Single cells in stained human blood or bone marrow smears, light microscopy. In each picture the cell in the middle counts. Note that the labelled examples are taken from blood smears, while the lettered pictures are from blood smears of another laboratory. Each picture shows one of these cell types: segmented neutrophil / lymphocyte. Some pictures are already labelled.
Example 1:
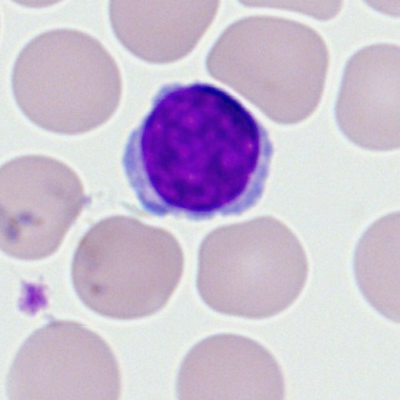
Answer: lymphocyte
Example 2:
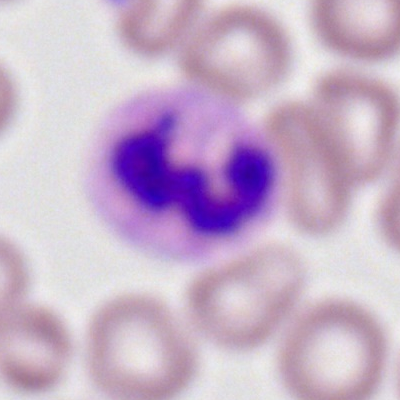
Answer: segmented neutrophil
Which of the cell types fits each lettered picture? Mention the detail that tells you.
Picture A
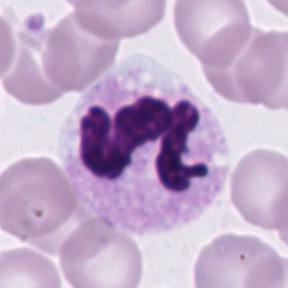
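Label: segmented neutrophil. Abundant pale lilac cytoplasm surrounds the nucleus on all sides.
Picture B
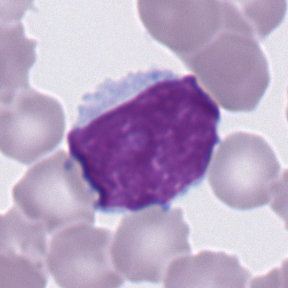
Label: lymphocyte. The nucleus is a single unlobed mass.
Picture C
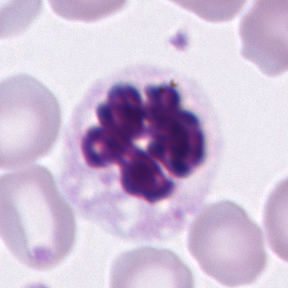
Label: segmented neutrophil. The nucleus is divided into several separate lobes clustered in the centre of the cell.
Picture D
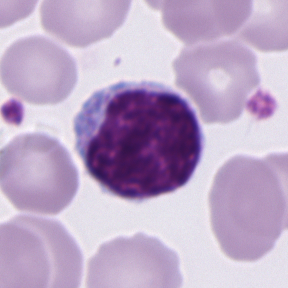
Label: lymphocyte. The cytoplasm forms a thin rim that is widest on the left side.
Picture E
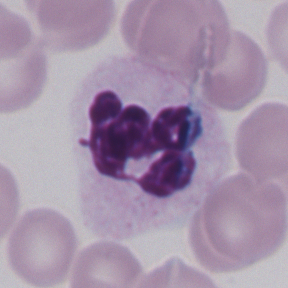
Label: segmented neutrophil. The cytoplasm is plentiful and pale pink.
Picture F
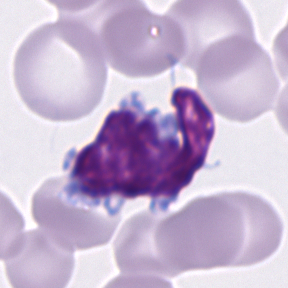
Label: lymphocyte. The cytoplasm is a scant, pale blue, patchy rim around the nucleus.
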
